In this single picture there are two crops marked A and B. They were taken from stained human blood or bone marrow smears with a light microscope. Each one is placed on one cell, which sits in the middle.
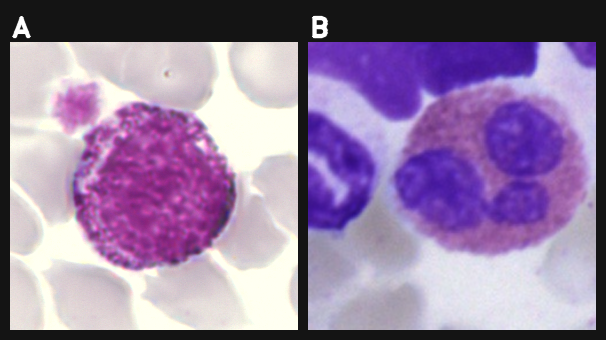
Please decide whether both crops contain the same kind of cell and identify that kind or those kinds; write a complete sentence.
No, mark crop A as a myelocyte and crop B as an eosinophil.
